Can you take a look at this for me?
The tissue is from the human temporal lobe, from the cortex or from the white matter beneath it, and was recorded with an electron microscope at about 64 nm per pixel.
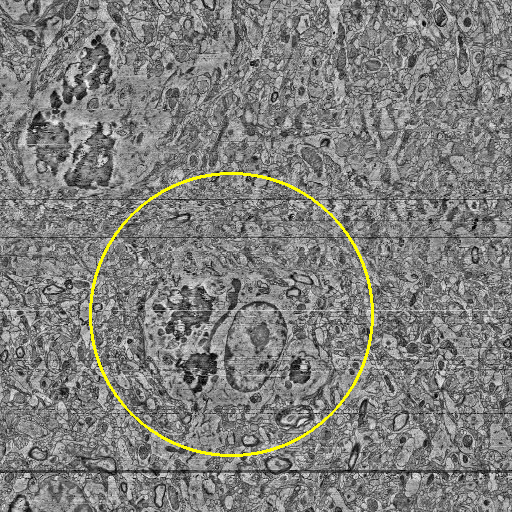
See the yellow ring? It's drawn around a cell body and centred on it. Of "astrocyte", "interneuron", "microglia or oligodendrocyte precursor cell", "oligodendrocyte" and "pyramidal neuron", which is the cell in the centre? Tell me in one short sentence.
The one in the centre is an astrocyte.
